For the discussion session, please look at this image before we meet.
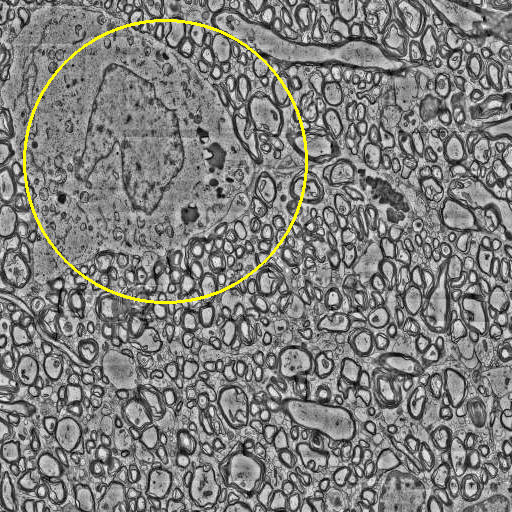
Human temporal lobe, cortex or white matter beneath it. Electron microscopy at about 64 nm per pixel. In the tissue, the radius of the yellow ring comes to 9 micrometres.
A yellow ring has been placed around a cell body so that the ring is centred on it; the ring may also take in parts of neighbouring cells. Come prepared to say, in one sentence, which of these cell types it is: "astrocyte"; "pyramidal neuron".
The cell centred in the ring is a pyramidal neuron.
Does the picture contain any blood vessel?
No.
